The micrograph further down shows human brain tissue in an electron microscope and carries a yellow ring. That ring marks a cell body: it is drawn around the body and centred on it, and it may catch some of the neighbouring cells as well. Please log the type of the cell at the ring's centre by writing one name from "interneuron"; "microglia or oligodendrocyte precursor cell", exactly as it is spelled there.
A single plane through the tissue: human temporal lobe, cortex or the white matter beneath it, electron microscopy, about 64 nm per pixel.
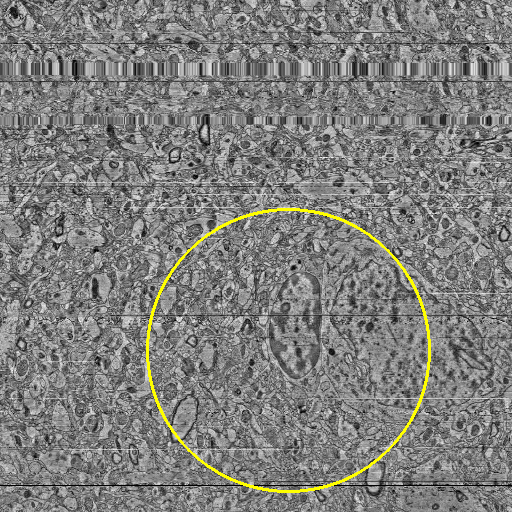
microglia or oligodendrocyte precursor cell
